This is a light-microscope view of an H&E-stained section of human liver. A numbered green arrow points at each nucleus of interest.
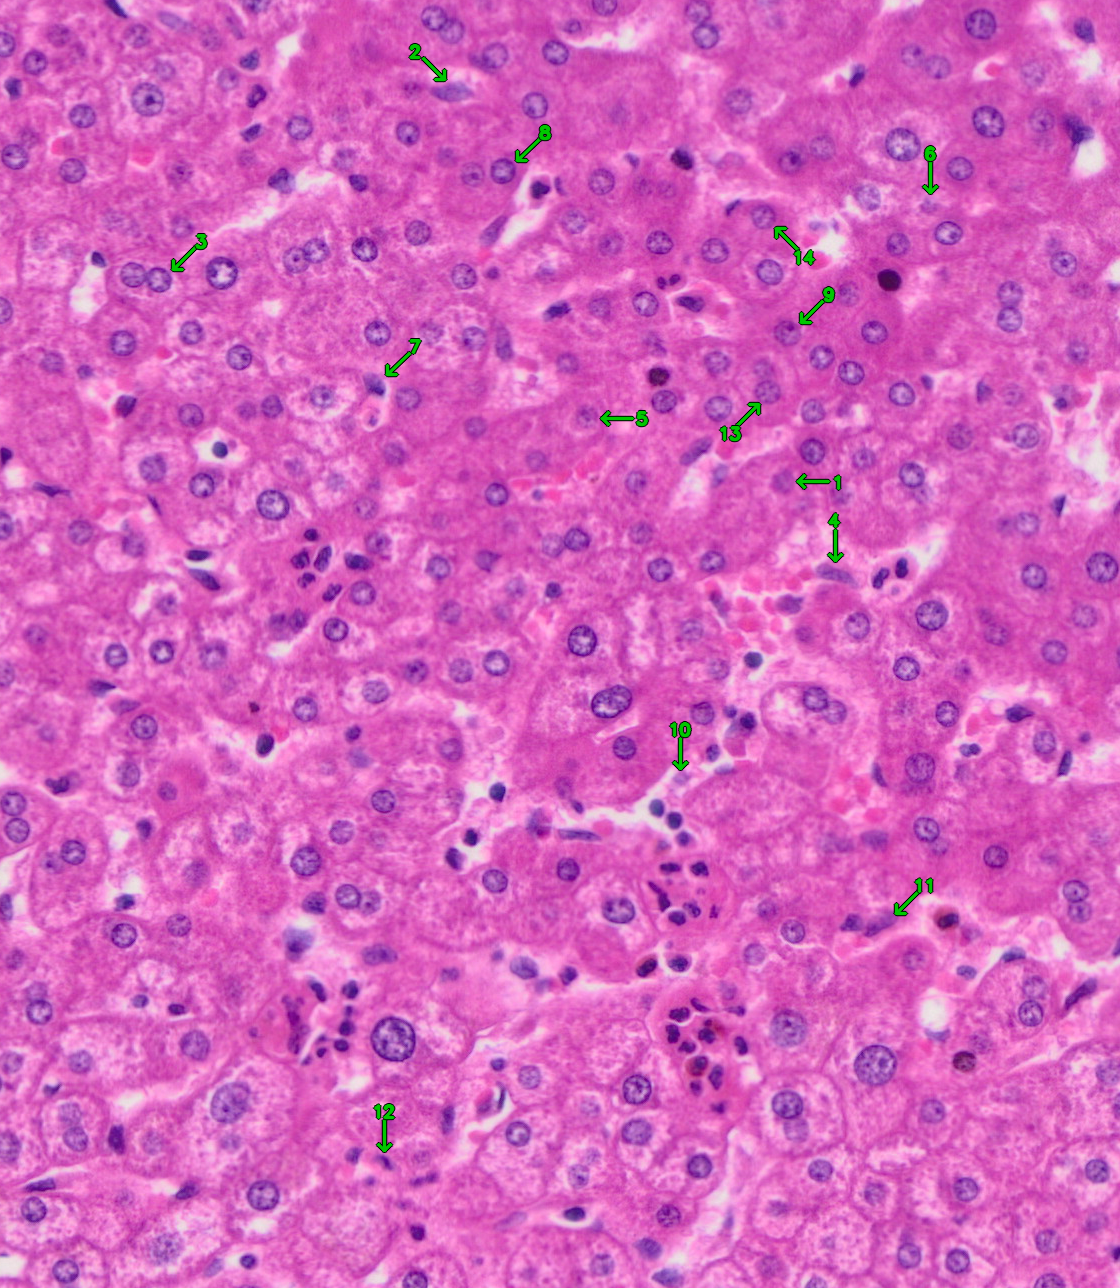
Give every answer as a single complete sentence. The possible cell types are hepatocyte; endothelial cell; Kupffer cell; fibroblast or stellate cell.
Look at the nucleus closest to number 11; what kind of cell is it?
The nearest nucleus to number 11 belongs to a fibroblast or stellate cell.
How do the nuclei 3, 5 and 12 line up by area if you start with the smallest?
From smallest to largest, the order is 12, 5, 3.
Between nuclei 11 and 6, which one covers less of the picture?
Nucleus 6 covers less area, with nucleus 11 about 2 times as large.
